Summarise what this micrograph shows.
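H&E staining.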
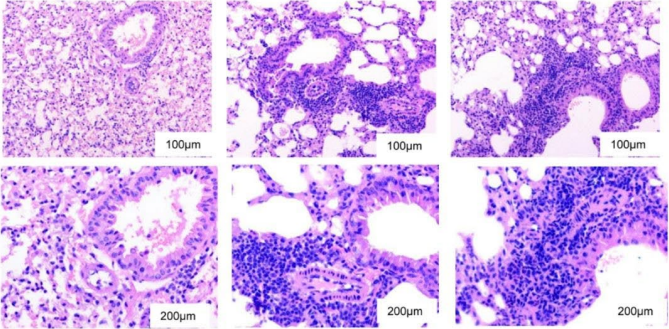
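These are sections of lung showing small airways, lined by pink epithelium, and the surrounding alveolar tissue, stained pink and purple. In the middle and right columns, dense collections of small, round, dark purple nuclei crowd the tissue around the airways, most heavily in the right column, while the nearby alveolar spaces appear enlarged.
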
